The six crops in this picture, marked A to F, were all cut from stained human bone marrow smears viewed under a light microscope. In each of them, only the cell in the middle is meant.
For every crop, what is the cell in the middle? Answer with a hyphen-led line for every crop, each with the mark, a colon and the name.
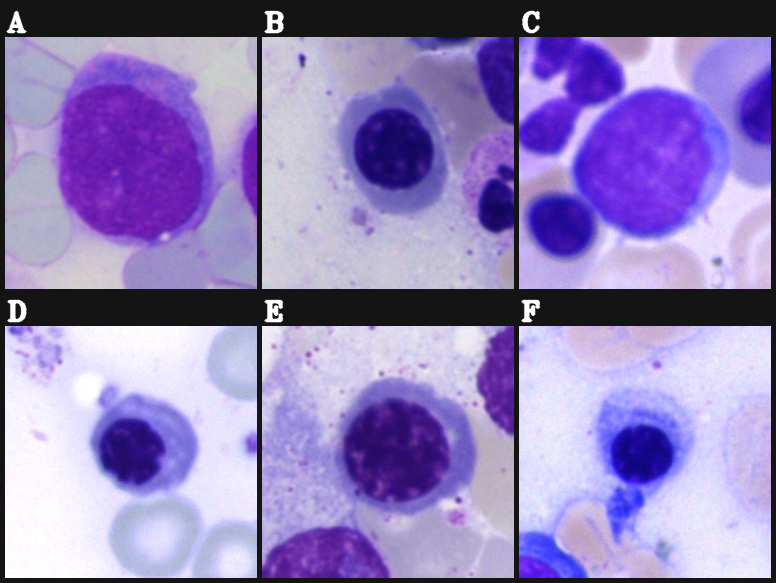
- A: blast
- B: erythroblast
- C: blast
- D: erythroblast
- E: erythroblast
- F: erythroblast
